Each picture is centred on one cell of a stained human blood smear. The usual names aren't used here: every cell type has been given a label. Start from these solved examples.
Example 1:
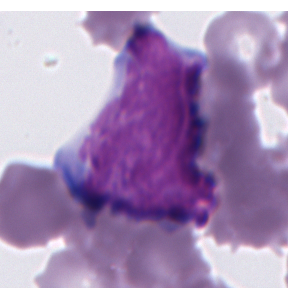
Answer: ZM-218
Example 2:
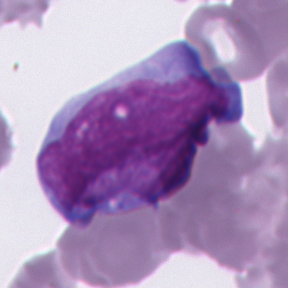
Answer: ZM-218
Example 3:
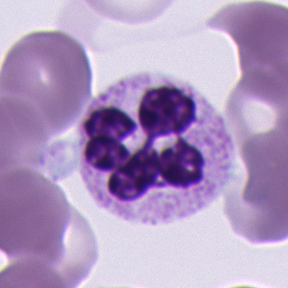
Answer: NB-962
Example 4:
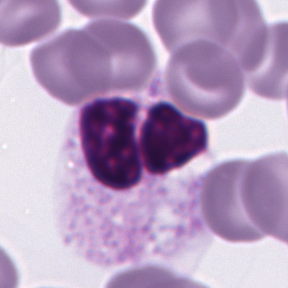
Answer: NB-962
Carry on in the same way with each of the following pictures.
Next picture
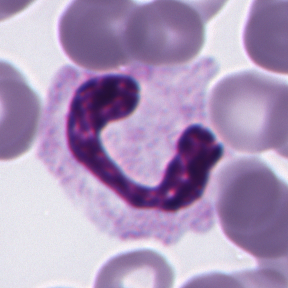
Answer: NB-962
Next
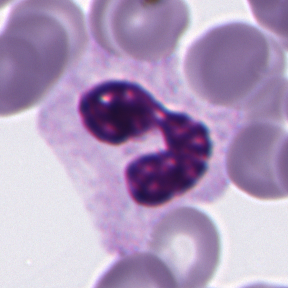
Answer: NB-962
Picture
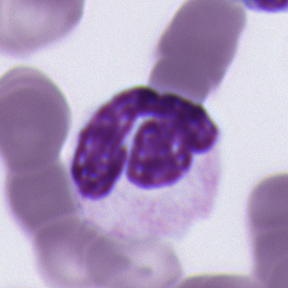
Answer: NB-962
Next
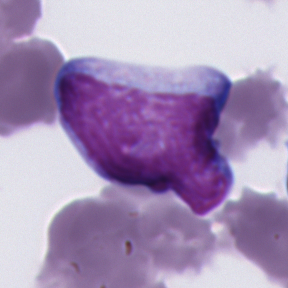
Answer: ZM-218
